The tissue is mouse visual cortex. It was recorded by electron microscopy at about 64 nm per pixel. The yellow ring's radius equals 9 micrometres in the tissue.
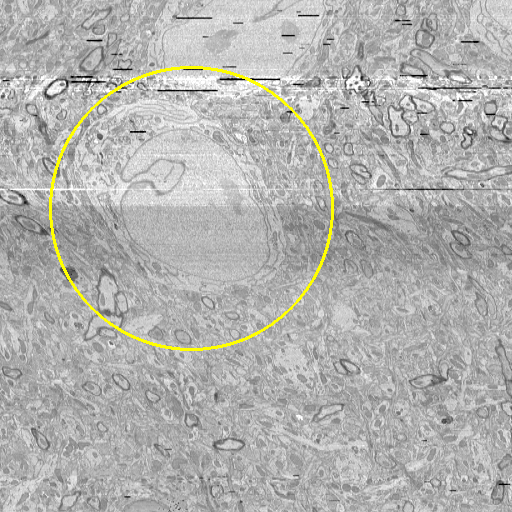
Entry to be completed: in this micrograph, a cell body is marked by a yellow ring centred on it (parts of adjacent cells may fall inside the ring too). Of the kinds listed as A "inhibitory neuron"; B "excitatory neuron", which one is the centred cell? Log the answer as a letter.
A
